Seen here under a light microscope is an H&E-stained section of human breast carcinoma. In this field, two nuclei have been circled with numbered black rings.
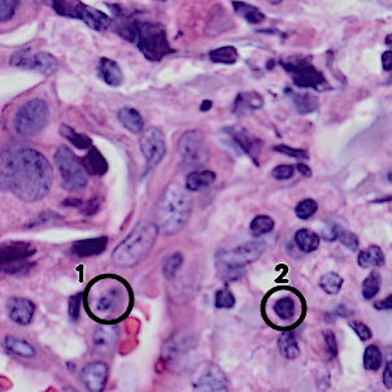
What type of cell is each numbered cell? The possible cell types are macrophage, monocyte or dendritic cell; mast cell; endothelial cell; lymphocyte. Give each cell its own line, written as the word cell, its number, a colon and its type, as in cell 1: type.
cell 1: endothelial cell
cell 2: lymphocyte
